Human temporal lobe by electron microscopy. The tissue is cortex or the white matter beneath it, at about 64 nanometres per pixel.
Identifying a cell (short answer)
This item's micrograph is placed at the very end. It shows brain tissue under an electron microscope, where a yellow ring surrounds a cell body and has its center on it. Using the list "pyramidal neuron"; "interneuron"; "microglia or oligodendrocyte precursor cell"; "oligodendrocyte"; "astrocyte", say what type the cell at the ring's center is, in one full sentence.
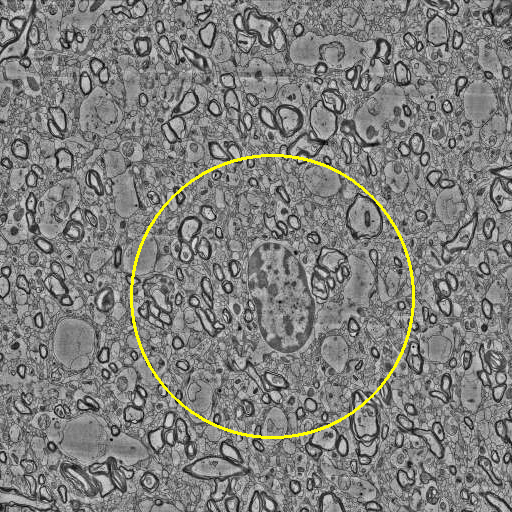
This picture shows a microglial cell or oligodendrocyte precursor cell at the center of the yellow ring drawn on it.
